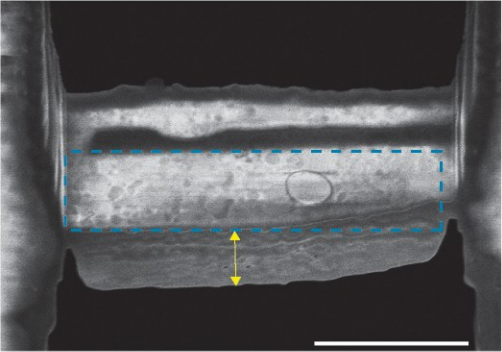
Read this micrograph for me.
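Inside the slab, many small rounded profiles are packed closely together, and one larger round outline stands out right of centre. A band of different texture runs along the lower edge of the slab, below the central region.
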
